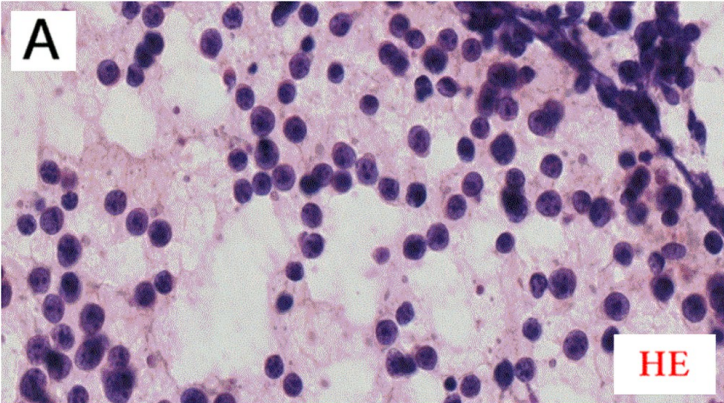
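A cytological smear shows discohesive round cells scattered singly and in loose groups over a pale pink, bubbly background with clear empty spaces. The cells look much alike: each has a round, fairly uniform, dark purple nucleus that fills most of the cell, with only a thin rim of cytoplasm around it. A streak of elongated, crushed dark nuclei runs across the upper right corner.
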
